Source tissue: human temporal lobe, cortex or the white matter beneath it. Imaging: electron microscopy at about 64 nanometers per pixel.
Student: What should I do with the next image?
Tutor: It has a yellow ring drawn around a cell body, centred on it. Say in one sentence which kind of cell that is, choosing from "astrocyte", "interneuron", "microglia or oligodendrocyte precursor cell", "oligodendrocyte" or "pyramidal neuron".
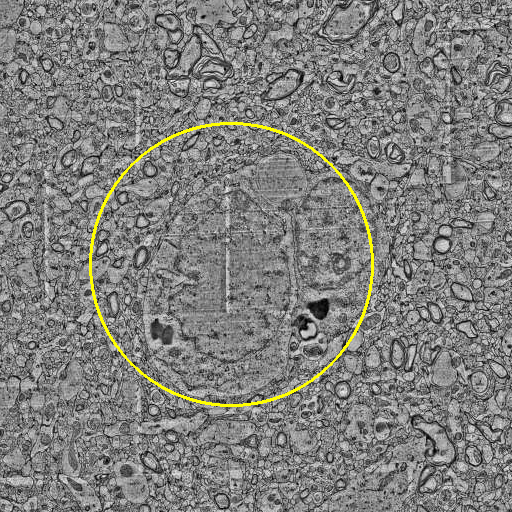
The ring's centre is occupied by an interneuron.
